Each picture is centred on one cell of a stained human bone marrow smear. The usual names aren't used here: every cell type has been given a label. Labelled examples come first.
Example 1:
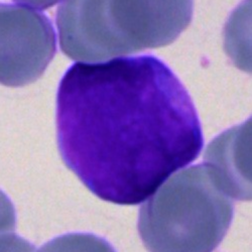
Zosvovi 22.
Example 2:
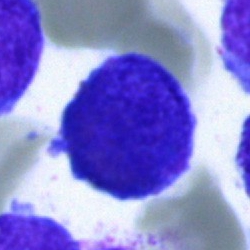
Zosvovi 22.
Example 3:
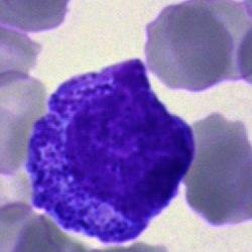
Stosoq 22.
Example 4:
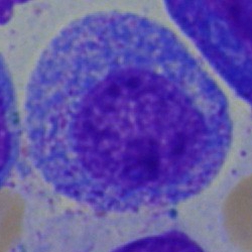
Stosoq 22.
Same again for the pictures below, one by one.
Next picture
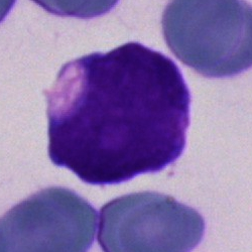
Zosvovi 22.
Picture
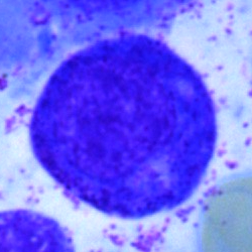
Stosoq 22.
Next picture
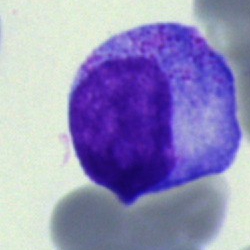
Stosoq 22.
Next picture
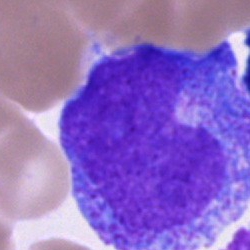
Stosoq 22.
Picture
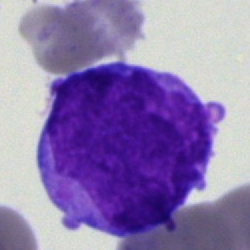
Zosvovi 22.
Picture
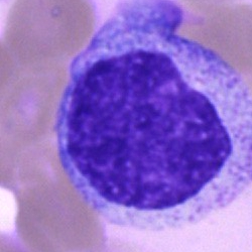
Stosoq 22.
